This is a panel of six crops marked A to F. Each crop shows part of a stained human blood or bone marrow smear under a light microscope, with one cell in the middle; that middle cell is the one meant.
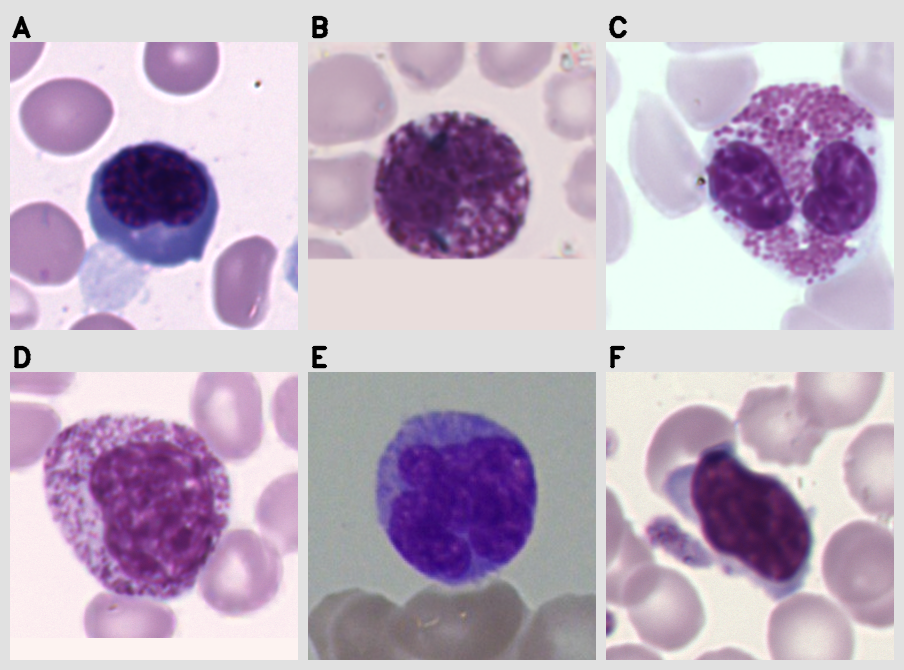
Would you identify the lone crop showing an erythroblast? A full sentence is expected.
The requested cell, an erythroblast, is the one in crop A.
